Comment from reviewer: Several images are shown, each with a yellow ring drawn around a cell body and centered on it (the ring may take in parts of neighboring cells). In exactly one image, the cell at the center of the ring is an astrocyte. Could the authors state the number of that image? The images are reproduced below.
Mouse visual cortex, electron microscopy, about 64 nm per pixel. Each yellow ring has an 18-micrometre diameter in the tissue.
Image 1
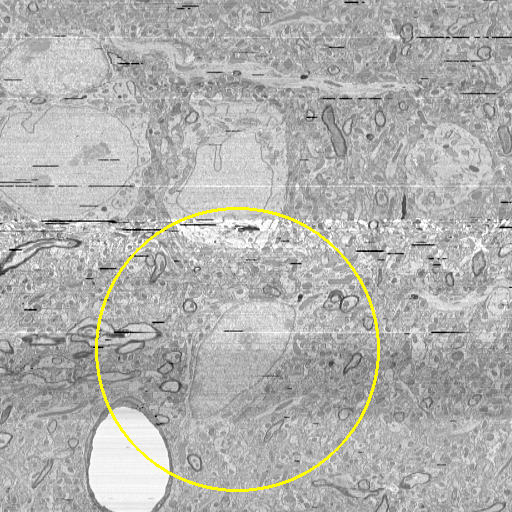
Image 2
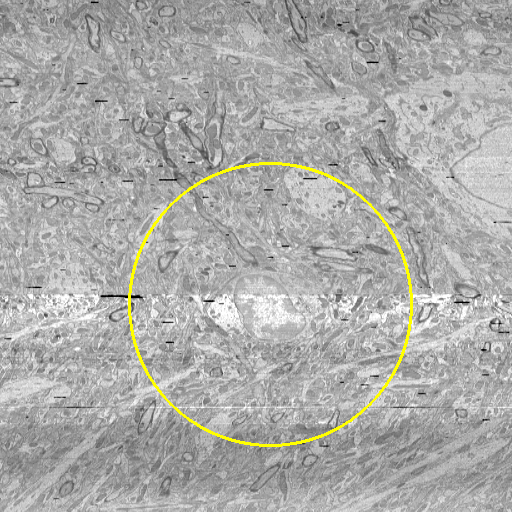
1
